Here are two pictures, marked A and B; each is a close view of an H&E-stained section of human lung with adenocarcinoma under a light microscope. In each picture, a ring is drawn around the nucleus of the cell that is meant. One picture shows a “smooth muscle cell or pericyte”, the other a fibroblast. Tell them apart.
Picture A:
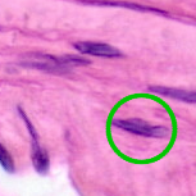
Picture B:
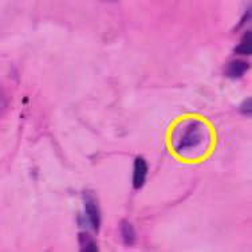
A: smooth muscle cell or pericyte
B: fibroblast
